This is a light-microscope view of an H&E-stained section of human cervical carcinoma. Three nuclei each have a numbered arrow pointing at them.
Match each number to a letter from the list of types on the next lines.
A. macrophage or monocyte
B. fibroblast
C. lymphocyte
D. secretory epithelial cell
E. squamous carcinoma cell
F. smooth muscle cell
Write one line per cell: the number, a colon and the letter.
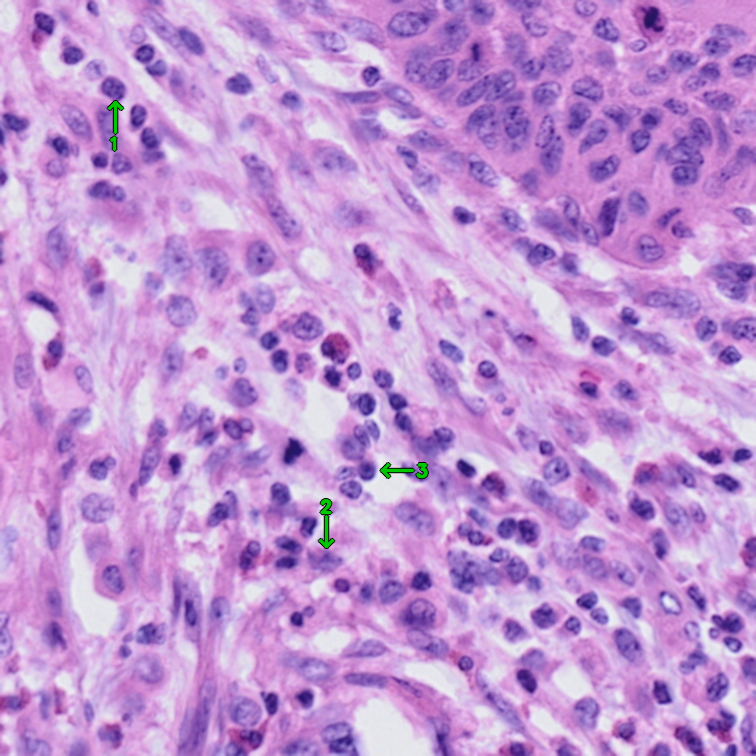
1: C
2: A
3: C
